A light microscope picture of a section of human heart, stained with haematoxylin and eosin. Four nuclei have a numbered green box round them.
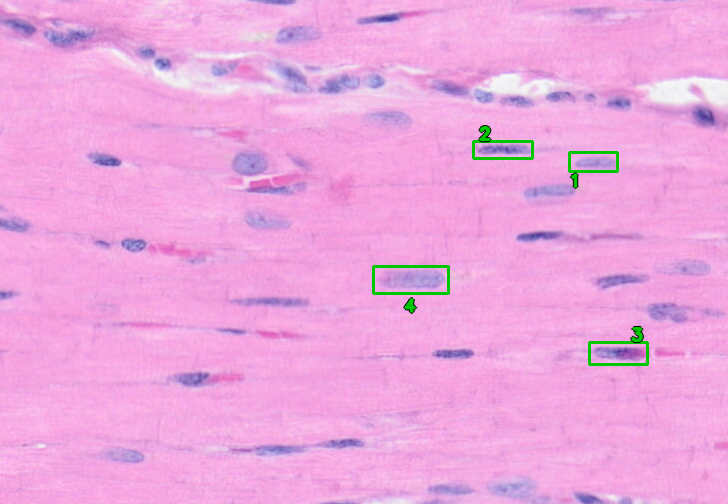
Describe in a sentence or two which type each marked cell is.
Cells 1 and 4 are cardiomyocytes. Cells 2 and 3 are endothelial cells.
